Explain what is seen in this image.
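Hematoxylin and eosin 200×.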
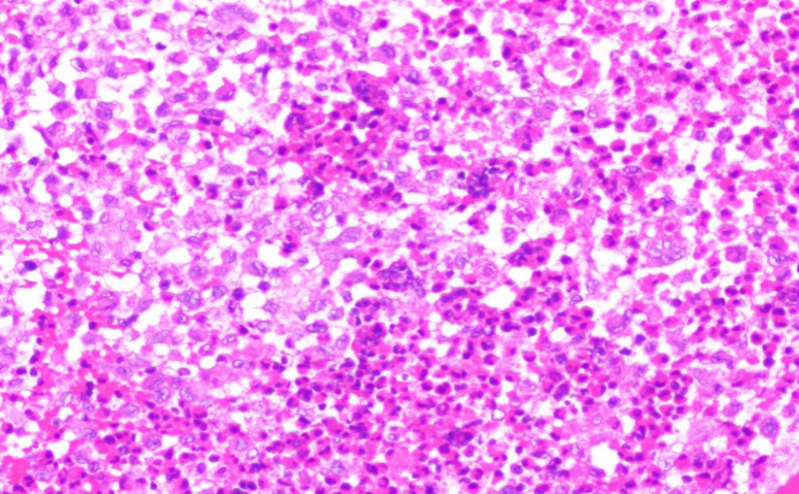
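This field shows sheets of large histiocytes mixed with a crowd of smaller inflammatory cells. The histiocytes have abundant pale pink, frothy-looking cytoplasm and pale oval nuclei, some of which look folded or indented. Between them, and massed in bands across the middle of the field, lie many small cells with dark round or lobed nuclei, many with bright pink cytoplasm. The tissue looks loose, with scattered clear spaces between the cells.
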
